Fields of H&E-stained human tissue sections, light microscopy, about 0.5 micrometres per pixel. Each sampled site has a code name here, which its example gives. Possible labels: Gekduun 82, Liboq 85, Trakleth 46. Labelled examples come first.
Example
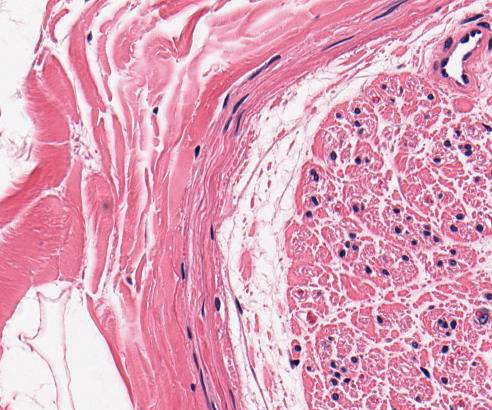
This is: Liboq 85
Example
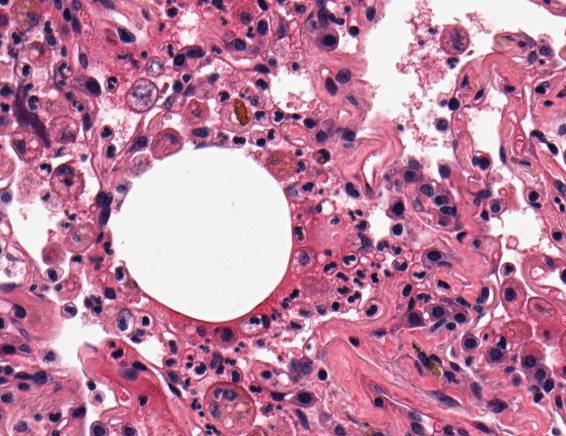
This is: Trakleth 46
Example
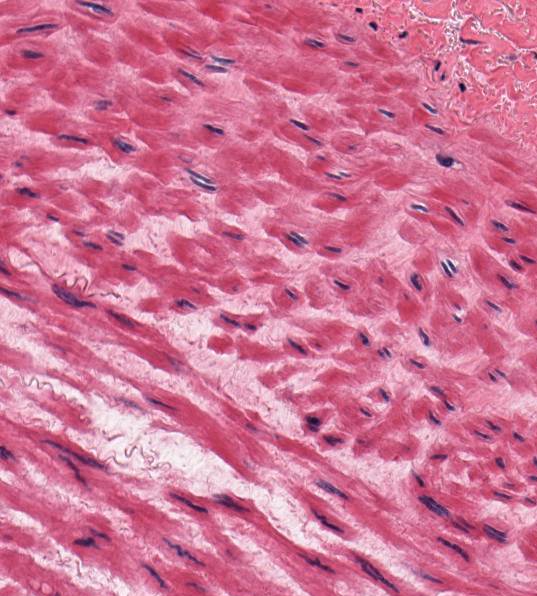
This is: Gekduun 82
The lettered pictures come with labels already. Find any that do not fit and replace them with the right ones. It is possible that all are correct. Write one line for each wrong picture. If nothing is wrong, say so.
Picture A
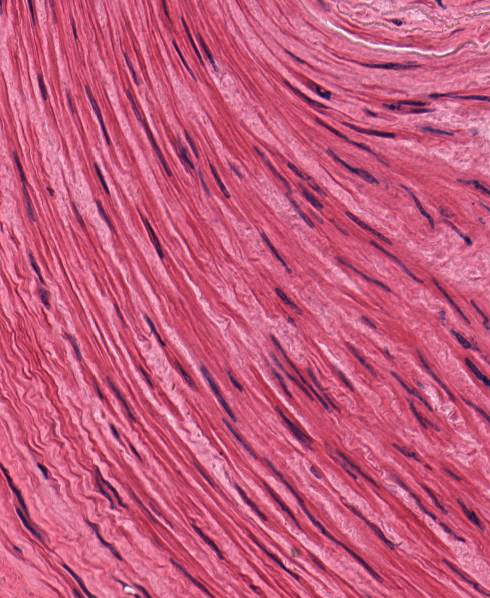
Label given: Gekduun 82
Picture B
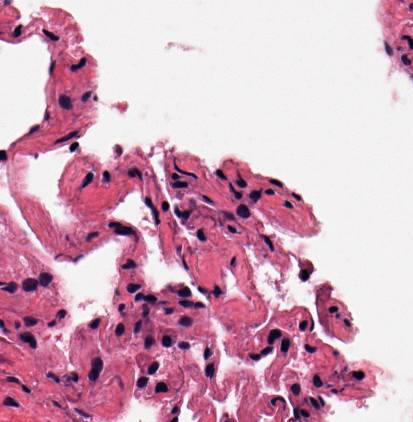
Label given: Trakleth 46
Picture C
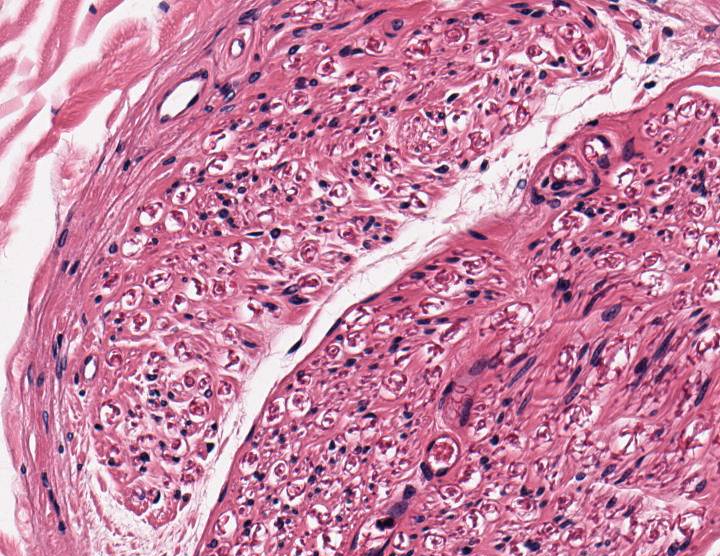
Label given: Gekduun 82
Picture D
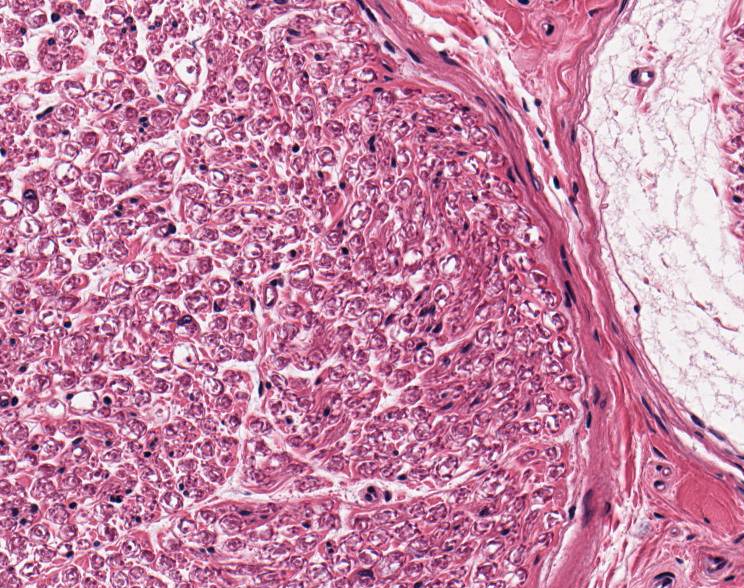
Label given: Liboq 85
Wrong: C (Gekduun 82); correct: Liboq 85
